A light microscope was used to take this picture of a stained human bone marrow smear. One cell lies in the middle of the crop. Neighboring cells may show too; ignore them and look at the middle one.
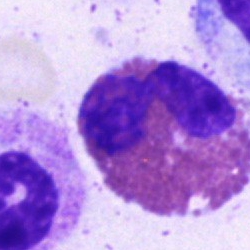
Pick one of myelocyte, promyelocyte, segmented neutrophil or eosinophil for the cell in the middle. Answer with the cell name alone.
eosinophil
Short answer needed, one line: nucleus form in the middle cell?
The key feature is a nucleus with multiple lobes.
